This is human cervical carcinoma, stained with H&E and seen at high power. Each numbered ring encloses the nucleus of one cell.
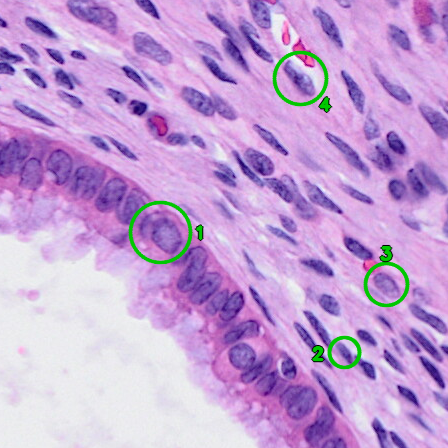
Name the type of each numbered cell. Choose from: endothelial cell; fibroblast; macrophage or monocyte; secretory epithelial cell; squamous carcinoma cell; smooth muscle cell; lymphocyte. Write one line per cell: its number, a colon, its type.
1: secretory epithelial cell
2: fibroblast
3: endothelial cell
4: endothelial cell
